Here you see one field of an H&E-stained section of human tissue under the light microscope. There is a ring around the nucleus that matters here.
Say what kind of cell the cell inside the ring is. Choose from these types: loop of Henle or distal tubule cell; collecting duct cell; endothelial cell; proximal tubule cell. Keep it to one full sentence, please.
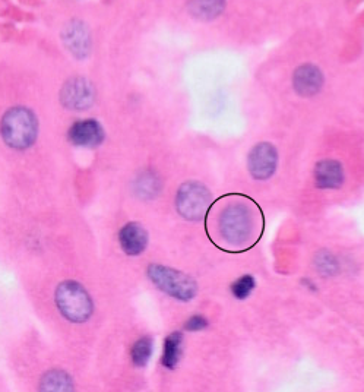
In this section, the cell inside the ring is a proximal tubule cell.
